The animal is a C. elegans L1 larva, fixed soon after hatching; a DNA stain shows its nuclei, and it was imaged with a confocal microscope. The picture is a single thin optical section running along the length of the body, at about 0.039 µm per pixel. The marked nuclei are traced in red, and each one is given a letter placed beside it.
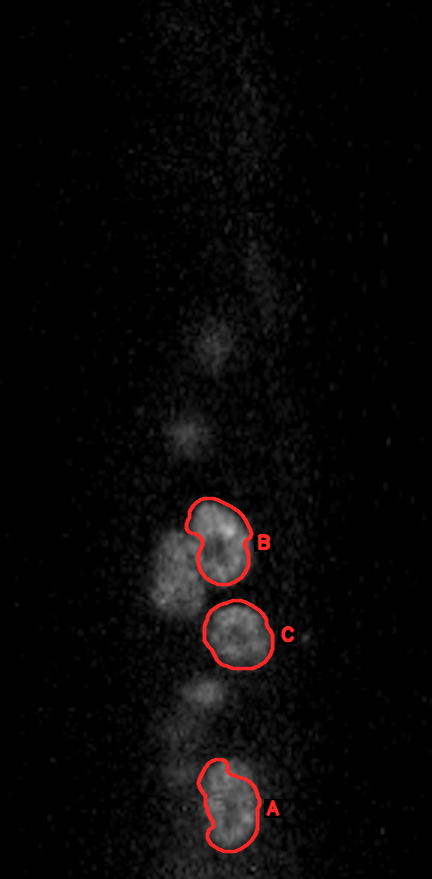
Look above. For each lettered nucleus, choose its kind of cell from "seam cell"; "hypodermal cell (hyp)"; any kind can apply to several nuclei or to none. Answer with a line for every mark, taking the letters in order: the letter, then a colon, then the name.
A: seam cell
B: hypodermal cell (hyp)
C: hypodermal cell (hyp)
